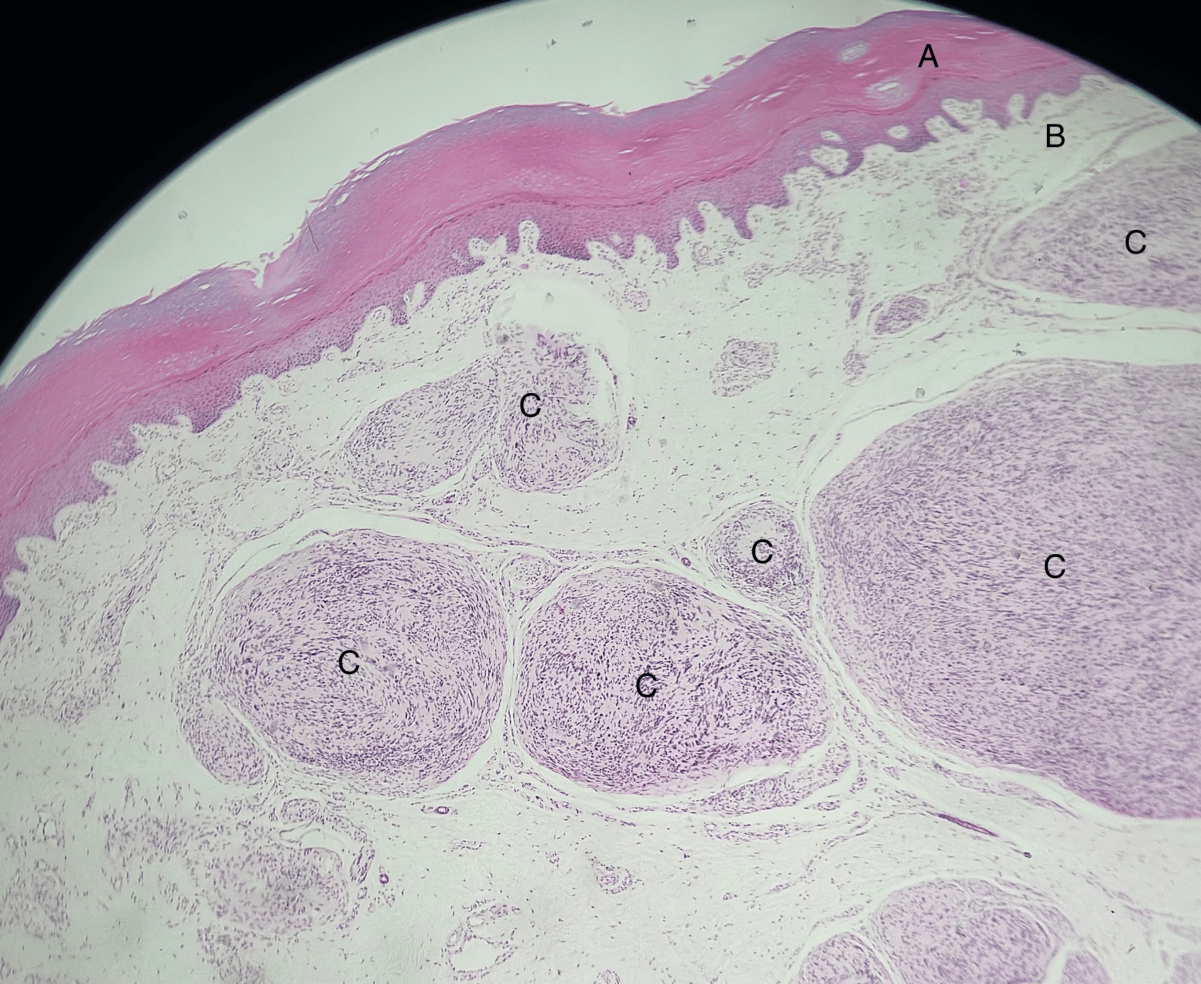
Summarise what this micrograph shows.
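This low-power view shows skin with epidermis above, dermis below it, and within the dermis many bundles of spindle-shaped tumor cells. The epidermis is a stratified layer with a thick pink outer keratin layer and a purple basal zone that sends short ridges downward. Beneath it the dermis is pale and loosely textured. Scattered through the dermis are rounded and oval nodules of varying size, from small to very large, each densely filled with elongated cells with purple nuclei arranged in streams.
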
